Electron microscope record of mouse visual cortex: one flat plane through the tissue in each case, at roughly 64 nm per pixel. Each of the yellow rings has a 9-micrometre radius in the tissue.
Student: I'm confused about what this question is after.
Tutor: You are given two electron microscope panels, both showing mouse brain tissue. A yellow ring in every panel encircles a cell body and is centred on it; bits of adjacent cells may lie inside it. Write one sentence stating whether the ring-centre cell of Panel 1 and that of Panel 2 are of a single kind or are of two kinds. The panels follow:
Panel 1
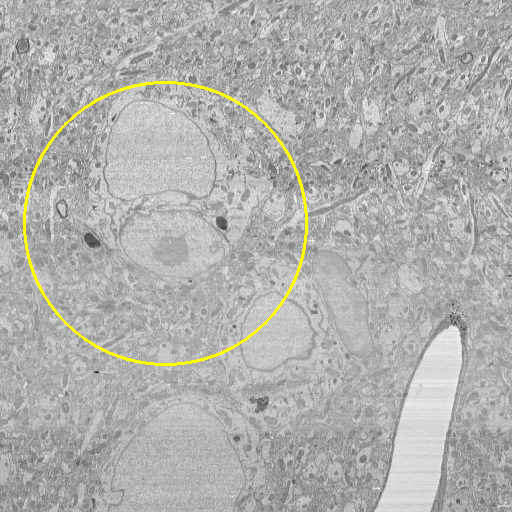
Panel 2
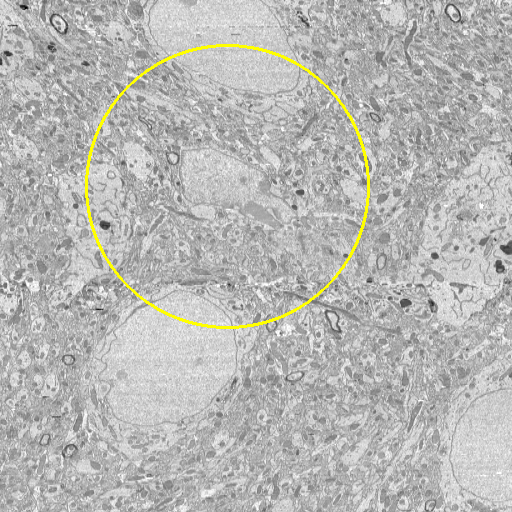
Here, the Panel 1 ring-centre cell and the Panel 2 ring-centre cell are of a single kind.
